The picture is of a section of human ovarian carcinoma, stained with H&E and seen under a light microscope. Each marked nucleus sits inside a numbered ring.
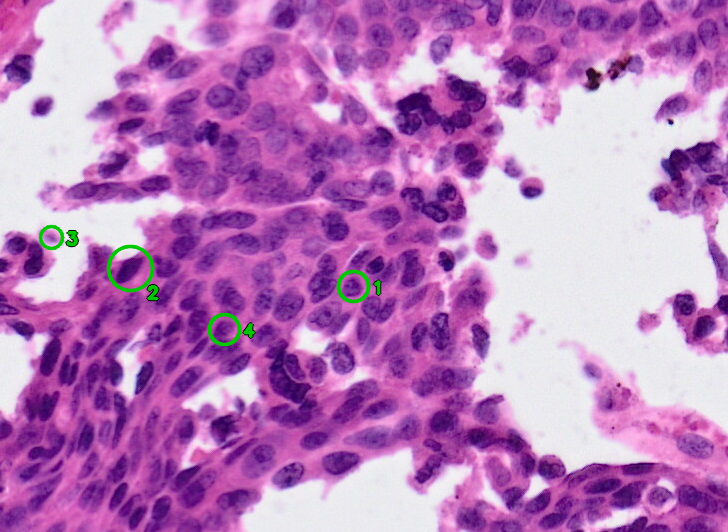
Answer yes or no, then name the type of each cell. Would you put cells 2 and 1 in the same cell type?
Yes, both of the numbered cells concerned, 2 and 1, are carcinoma cells.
